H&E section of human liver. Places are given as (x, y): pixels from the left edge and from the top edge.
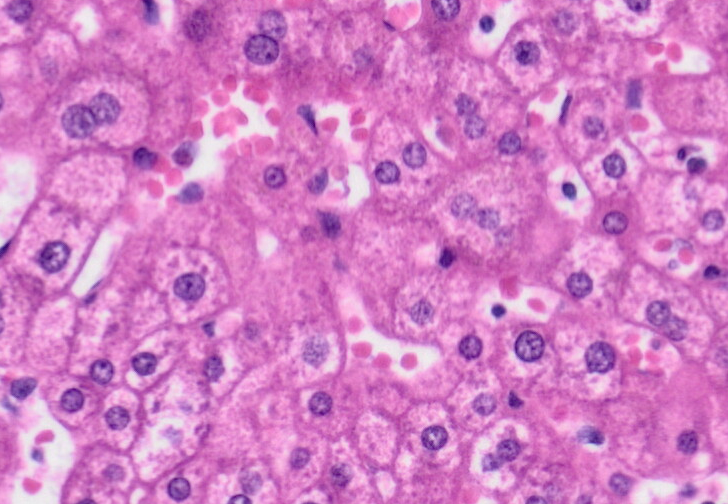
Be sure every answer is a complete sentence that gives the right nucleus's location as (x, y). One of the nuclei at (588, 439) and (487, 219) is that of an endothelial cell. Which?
The nucleus positioned at (588, 439) is the one that belongs to an endothelial cell.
